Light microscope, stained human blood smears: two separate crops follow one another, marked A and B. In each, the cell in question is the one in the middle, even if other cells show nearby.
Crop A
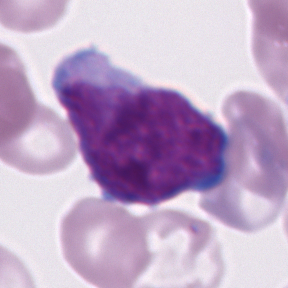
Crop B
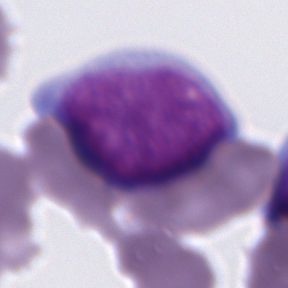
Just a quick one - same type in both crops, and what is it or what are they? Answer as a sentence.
Yes, the two crops show blasts, one cell each.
